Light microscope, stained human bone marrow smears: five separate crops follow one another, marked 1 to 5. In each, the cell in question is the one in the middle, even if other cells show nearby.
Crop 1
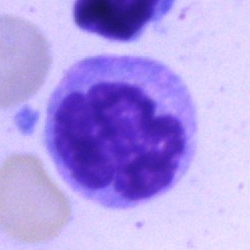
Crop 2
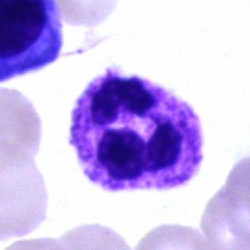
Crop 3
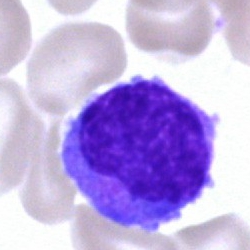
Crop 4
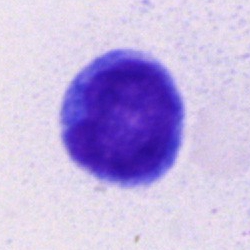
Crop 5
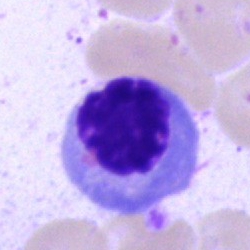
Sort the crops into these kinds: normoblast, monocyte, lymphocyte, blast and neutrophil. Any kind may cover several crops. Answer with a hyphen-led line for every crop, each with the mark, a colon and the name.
- 1: monocyte
- 2: neutrophil
- 3: monocyte
- 4: monocyte
- 5: normoblast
